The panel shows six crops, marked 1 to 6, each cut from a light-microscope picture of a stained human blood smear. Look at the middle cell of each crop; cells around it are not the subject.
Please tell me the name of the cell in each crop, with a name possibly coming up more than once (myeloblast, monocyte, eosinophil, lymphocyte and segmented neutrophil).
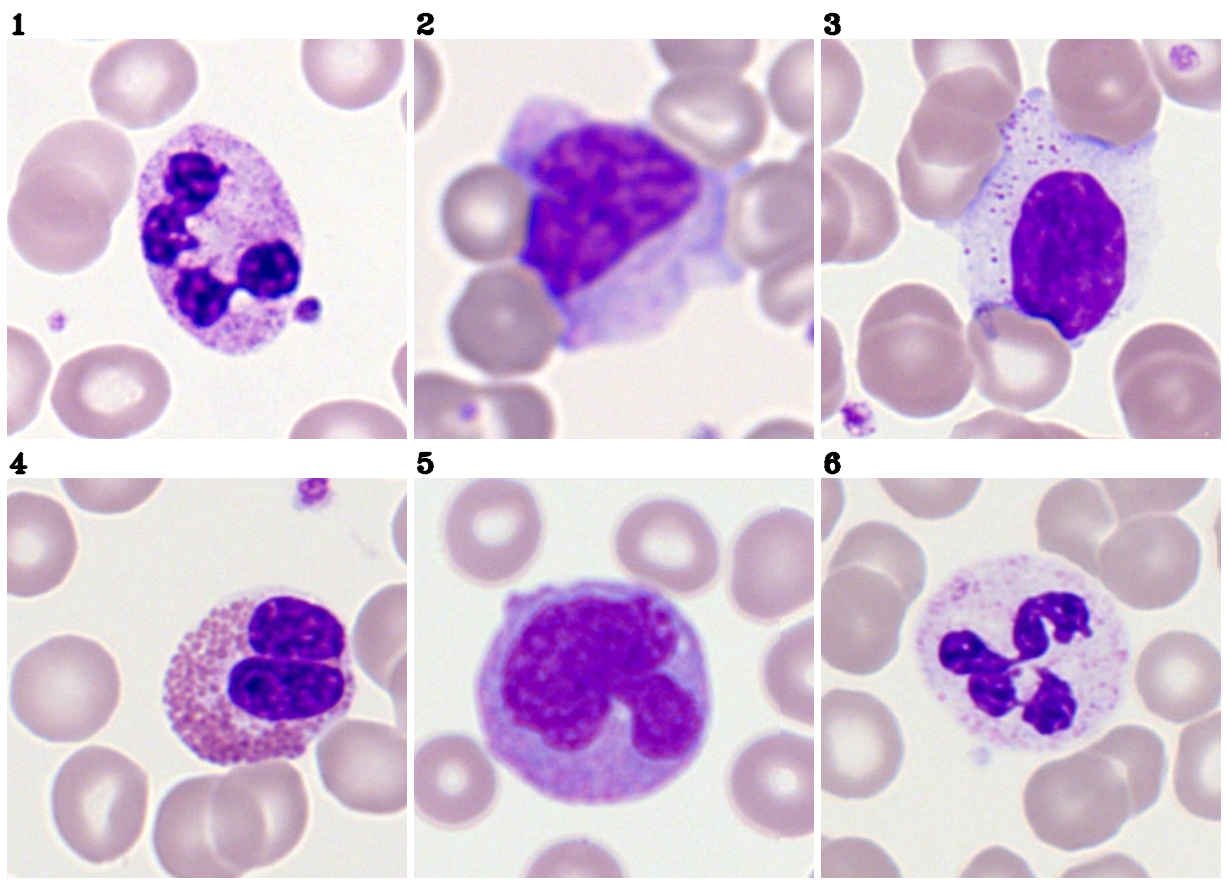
1: segmented neutrophil
2: monocyte
3: lymphocyte
4: eosinophil
5: monocyte
6: segmented neutrophil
